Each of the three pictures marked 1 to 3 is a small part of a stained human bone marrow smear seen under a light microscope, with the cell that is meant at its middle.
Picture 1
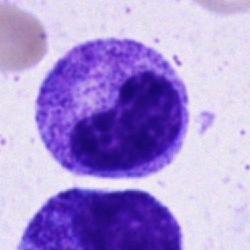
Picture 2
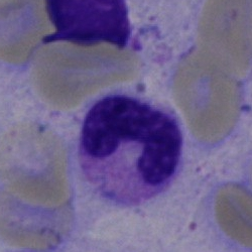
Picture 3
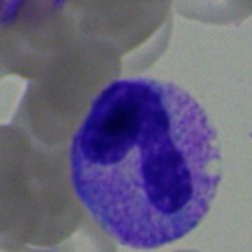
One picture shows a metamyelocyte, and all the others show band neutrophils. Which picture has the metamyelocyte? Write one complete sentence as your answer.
The picture with the metamyelocyte is 1.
